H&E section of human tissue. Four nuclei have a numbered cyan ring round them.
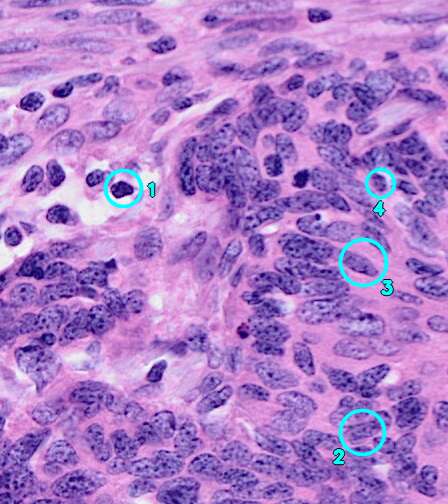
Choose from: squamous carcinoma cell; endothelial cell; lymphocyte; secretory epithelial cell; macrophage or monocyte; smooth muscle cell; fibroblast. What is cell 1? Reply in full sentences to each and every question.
The cell whose nucleus carries the number 1 is a lymphocyte.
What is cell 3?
The cell that bears the number 3 is a squamous carcinoma cell.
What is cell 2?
The numbered cell 2 is identified here as a squamous carcinoma cell.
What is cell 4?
In the marked set, the cell given number 4 is a squamous carcinoma cell.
